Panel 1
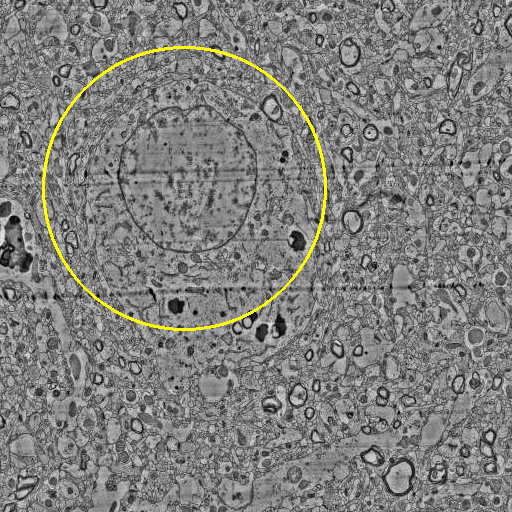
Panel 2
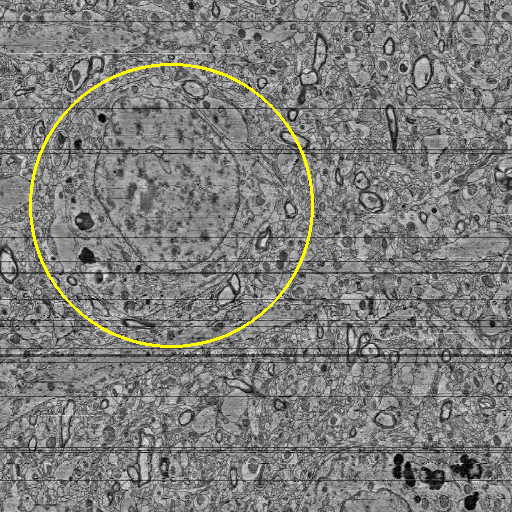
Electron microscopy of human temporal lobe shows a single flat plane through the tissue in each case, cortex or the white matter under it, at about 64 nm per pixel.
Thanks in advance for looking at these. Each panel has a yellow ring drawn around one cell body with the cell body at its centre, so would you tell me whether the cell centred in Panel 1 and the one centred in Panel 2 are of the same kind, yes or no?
yes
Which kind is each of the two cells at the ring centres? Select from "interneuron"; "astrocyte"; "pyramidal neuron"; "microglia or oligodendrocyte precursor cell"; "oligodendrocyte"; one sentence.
Each of the two cells is a pyramidal neuron.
